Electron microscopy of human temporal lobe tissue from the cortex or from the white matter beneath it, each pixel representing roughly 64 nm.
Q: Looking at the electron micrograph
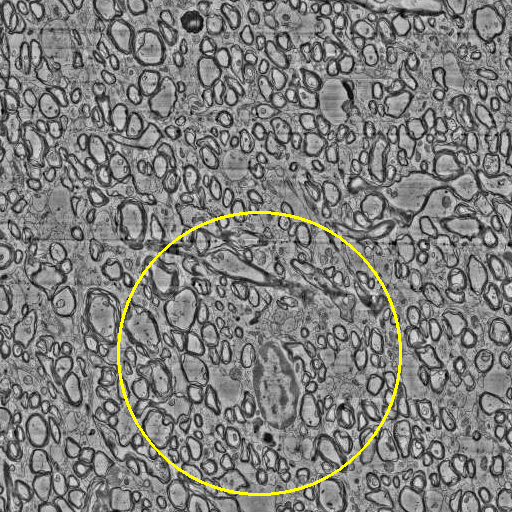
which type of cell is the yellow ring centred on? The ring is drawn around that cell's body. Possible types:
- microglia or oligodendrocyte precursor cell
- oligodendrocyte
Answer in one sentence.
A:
The yellow ring is centred on a microglial cell or oligodendrocyte precursor cell.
